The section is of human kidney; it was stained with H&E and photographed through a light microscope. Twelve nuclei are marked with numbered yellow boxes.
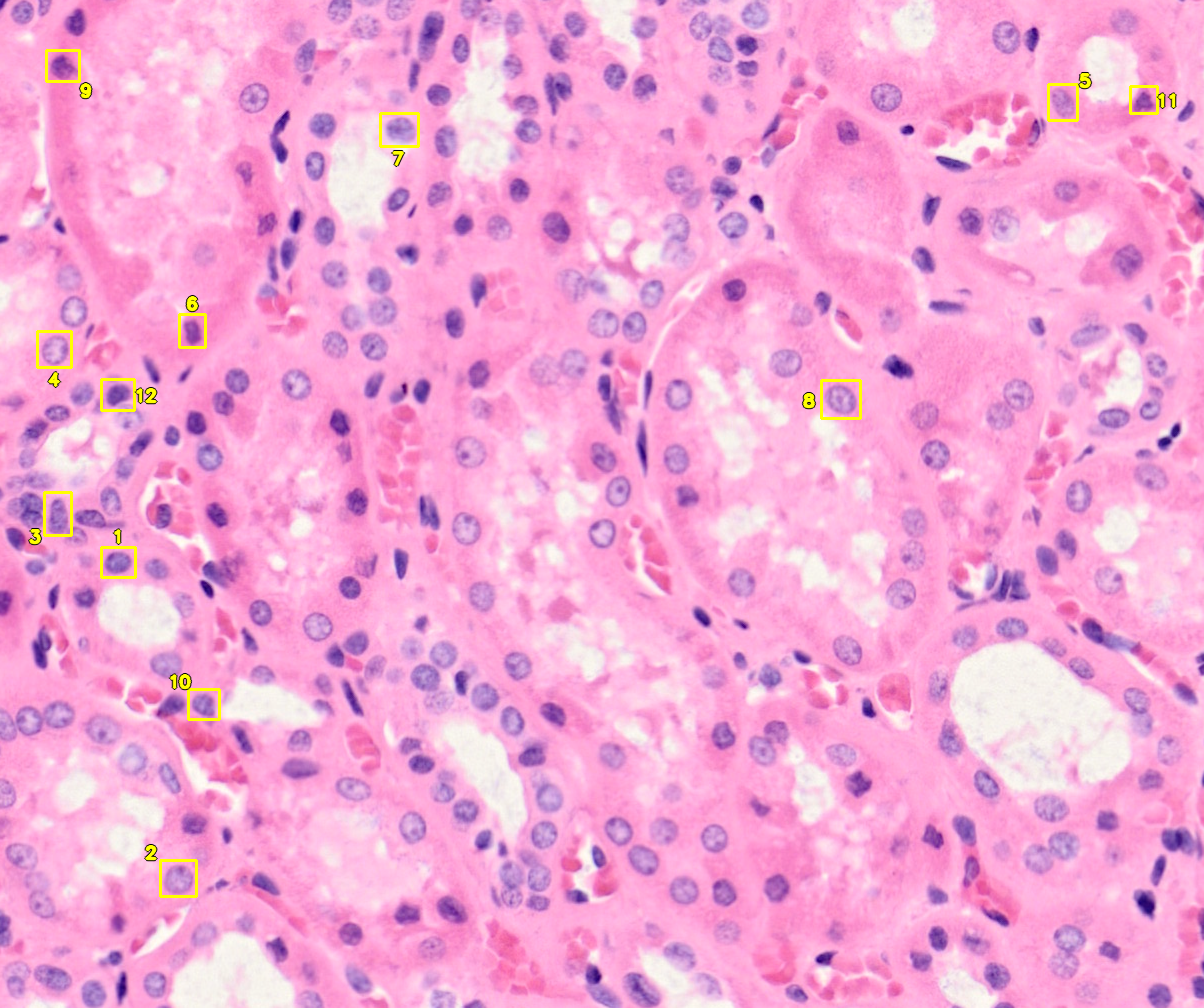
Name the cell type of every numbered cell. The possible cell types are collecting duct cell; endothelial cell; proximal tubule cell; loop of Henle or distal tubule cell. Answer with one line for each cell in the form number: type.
1: loop of Henle or distal tubule cell
2: proximal tubule cell
3: collecting duct cell
4: proximal tubule cell
5: proximal tubule cell
6: proximal tubule cell
7: loop of Henle or distal tubule cell
8: proximal tubule cell
9: proximal tubule cell
10: loop of Henle or distal tubule cell
11: proximal tubule cell
12: collecting duct cell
